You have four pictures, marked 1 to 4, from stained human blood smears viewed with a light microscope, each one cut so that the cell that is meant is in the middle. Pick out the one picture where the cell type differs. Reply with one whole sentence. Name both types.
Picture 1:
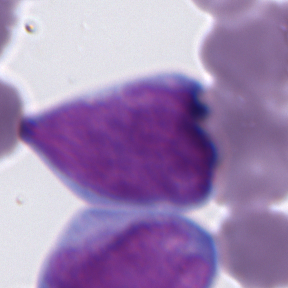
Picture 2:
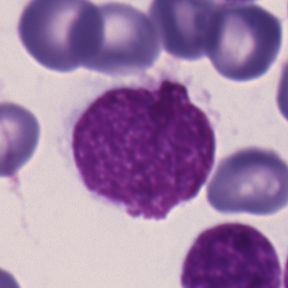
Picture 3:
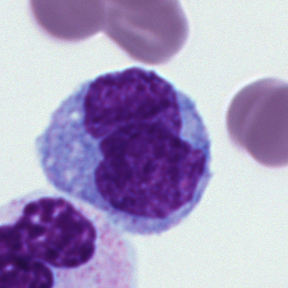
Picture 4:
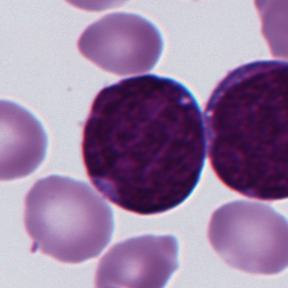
Picture 3 is the odd one out: it shows a monocyte, while the others show myeloblasts.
